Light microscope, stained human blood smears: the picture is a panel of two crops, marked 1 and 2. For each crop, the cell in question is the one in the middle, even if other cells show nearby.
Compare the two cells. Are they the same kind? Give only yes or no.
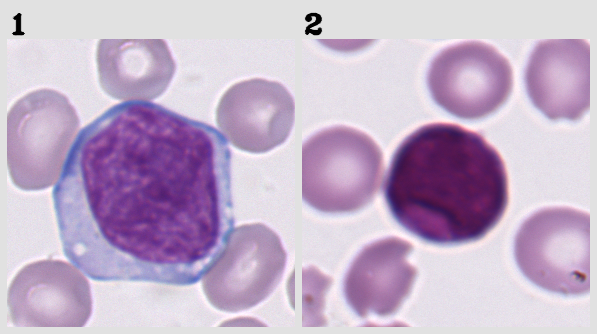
yes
